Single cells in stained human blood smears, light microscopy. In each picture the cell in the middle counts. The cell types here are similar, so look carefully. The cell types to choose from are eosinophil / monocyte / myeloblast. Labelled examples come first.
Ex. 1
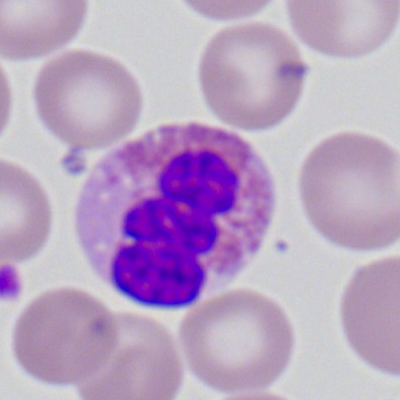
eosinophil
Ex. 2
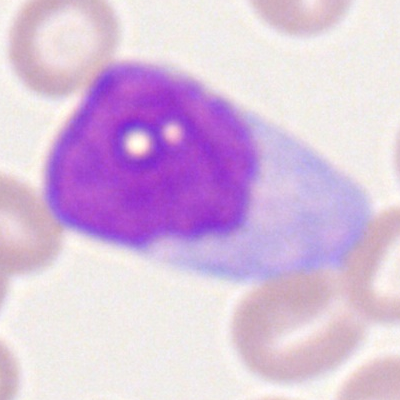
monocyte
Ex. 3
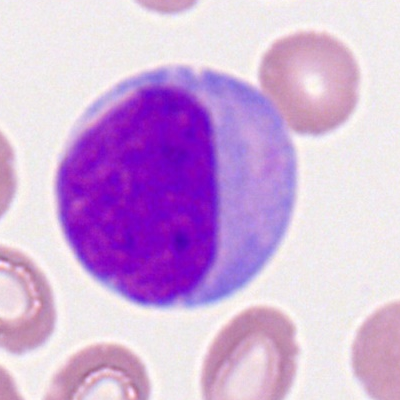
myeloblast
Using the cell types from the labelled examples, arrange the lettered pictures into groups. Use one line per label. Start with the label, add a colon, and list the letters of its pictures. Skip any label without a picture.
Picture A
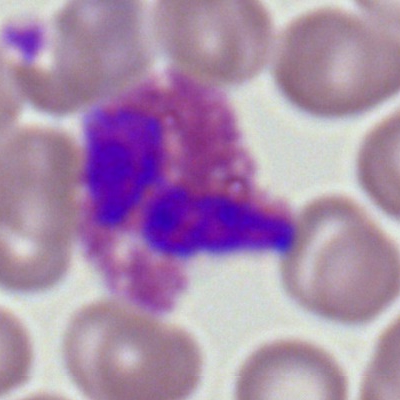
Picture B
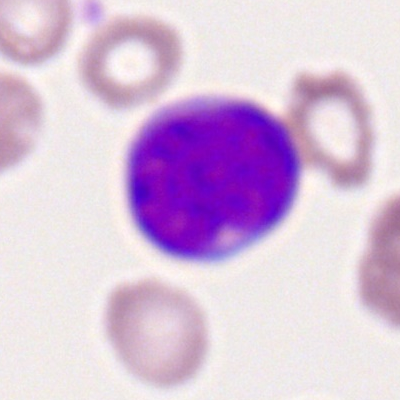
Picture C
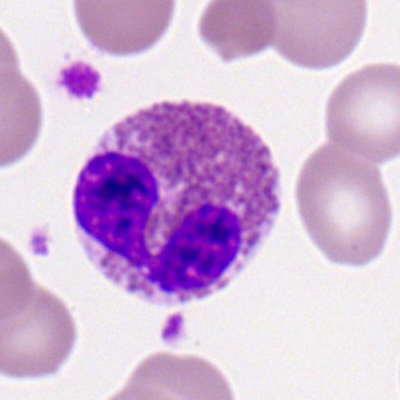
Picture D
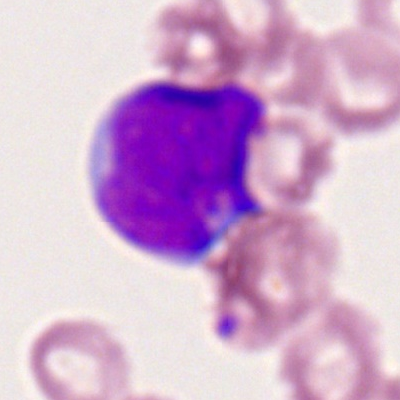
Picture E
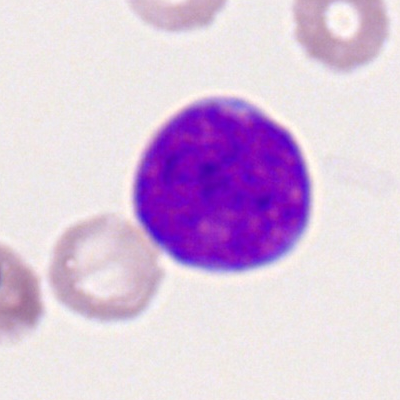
eosinophil: A, C
myeloblast: B, D, E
